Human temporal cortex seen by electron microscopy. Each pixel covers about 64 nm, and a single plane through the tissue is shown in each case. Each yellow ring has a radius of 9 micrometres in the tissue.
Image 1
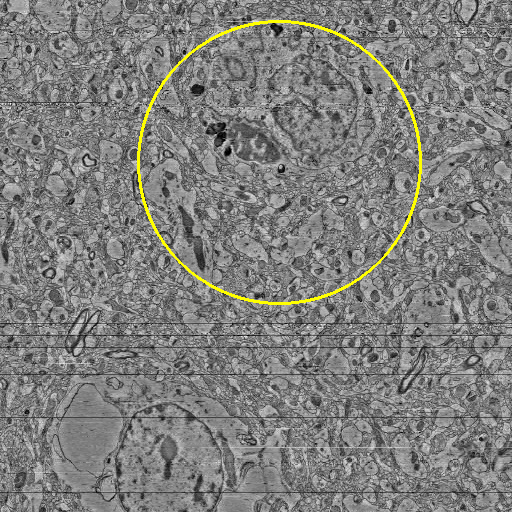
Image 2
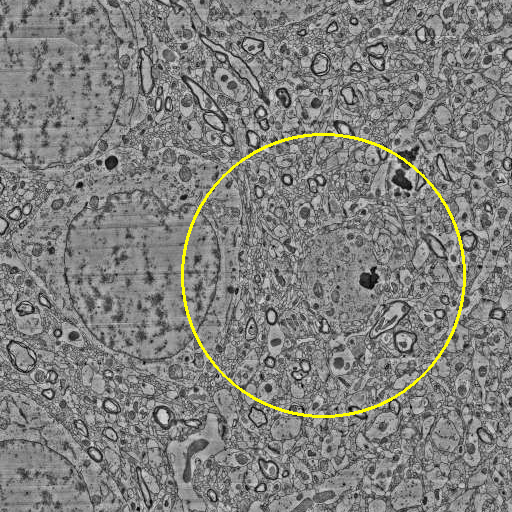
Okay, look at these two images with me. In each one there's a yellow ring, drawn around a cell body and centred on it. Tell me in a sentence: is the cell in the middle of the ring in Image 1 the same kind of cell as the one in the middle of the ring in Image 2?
No, they're two kinds of cell.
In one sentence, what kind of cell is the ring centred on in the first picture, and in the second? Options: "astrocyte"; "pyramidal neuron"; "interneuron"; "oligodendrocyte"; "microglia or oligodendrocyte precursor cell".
The cell at the centre of the second ring is an oligodendrocyte; the first ring's cell is a microglial cell or oligodendrocyte precursor cell.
